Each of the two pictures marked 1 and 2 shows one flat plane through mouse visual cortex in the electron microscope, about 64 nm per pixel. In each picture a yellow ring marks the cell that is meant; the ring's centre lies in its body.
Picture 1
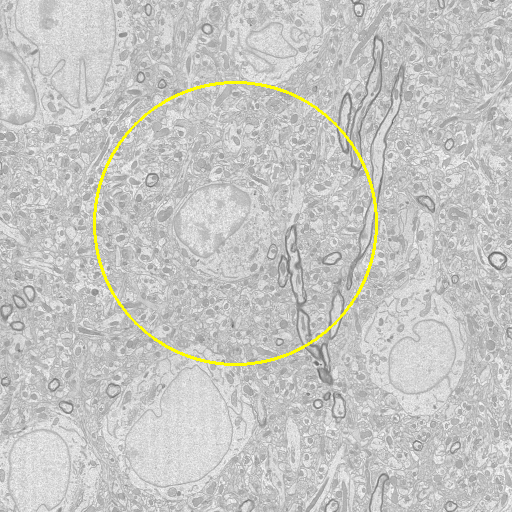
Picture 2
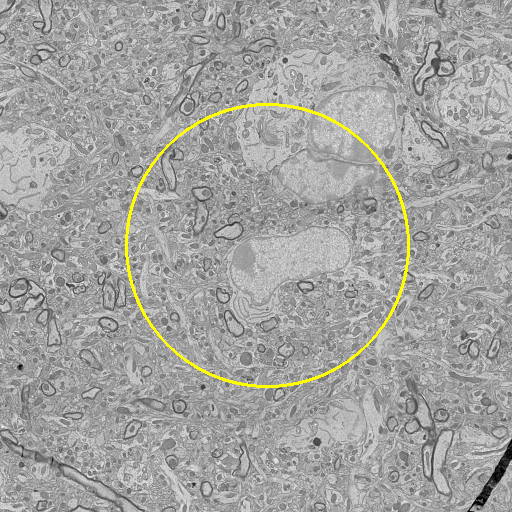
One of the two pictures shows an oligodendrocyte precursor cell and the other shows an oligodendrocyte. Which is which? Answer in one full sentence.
It is picture 1 that shows an oligodendrocyte, and picture 2 that shows an oligodendrocyte precursor cell.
